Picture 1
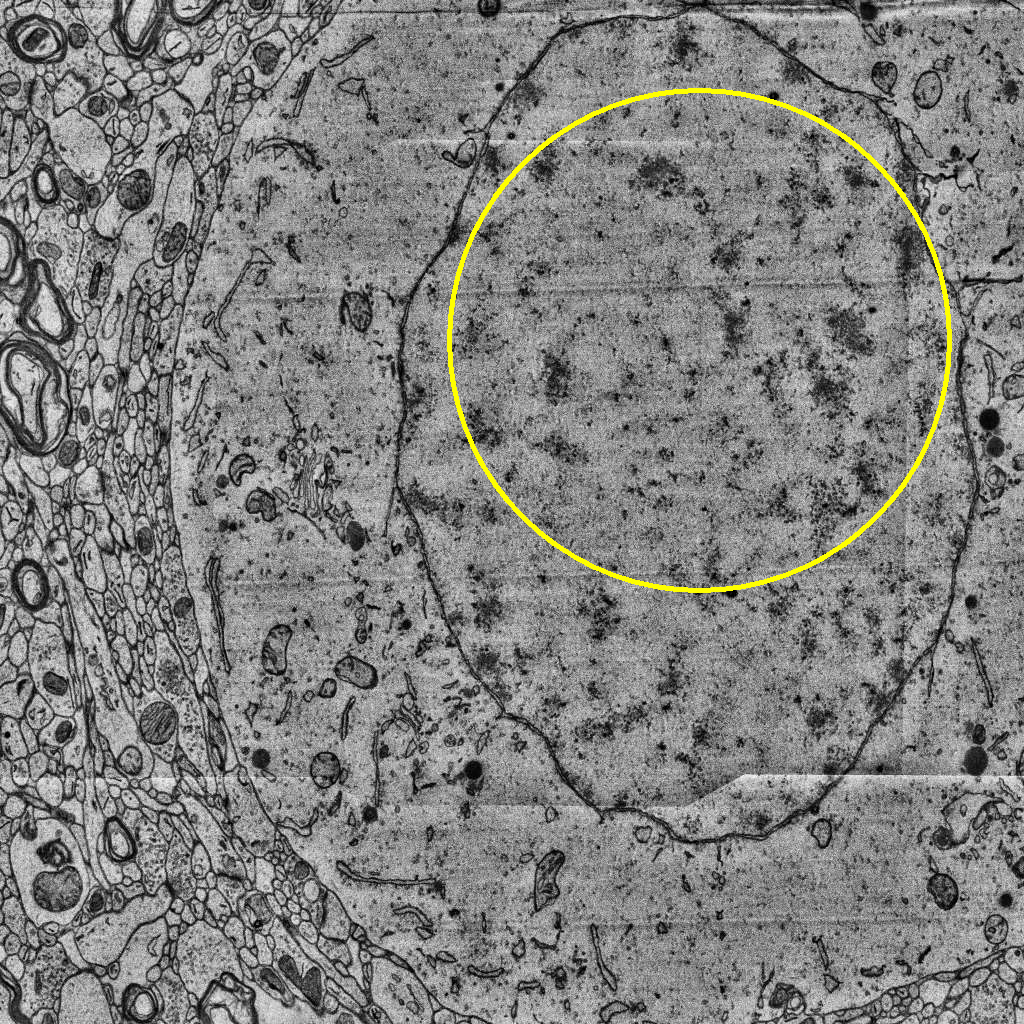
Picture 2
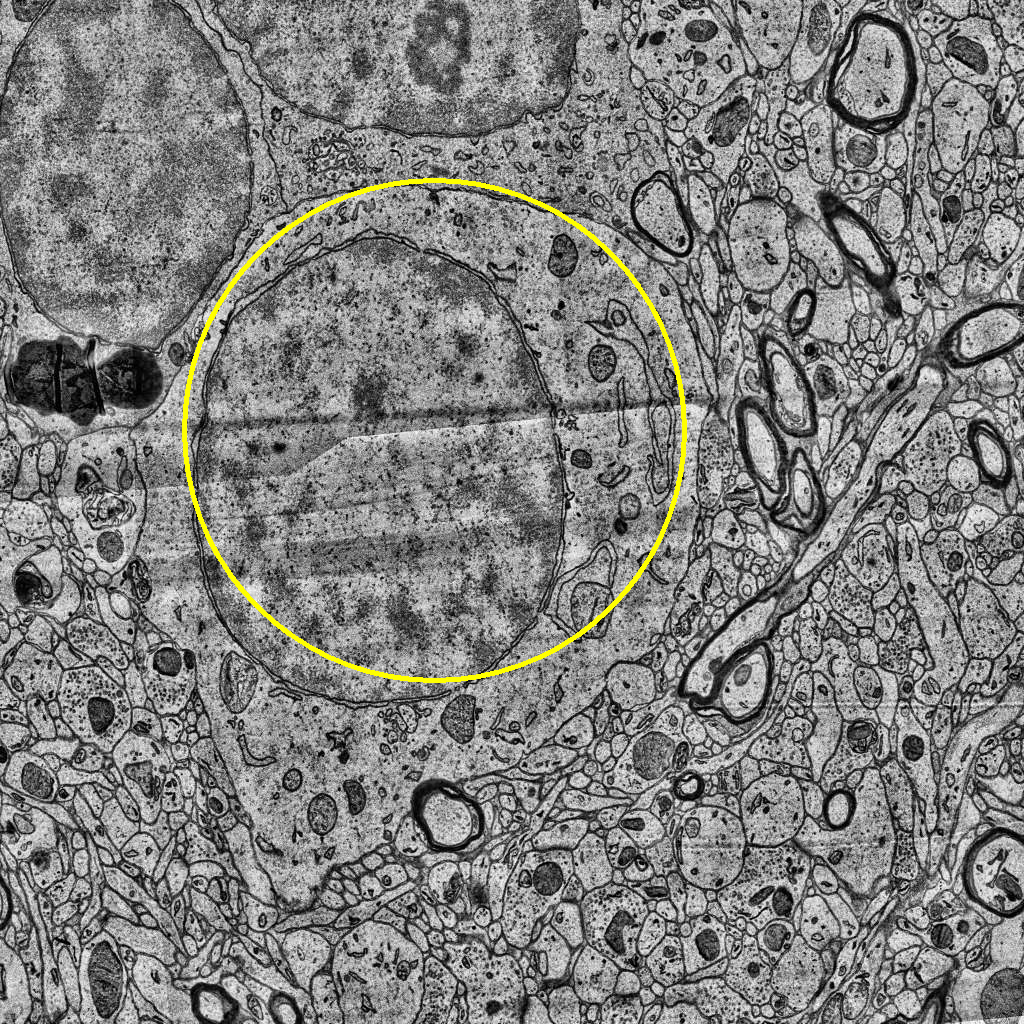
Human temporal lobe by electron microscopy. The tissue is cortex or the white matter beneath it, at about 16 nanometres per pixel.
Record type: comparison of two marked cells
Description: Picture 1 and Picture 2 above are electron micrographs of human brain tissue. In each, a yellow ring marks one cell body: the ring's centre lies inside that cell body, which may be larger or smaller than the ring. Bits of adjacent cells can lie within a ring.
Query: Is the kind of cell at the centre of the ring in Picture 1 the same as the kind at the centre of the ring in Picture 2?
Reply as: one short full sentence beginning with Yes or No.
No, the two cells at the ring centres are of two separate kinds.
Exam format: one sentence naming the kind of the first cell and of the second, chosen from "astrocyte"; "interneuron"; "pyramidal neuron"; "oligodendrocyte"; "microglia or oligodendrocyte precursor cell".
The first picture's cell is a pyramidal neuron, and the second picture's cell is an interneuron.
